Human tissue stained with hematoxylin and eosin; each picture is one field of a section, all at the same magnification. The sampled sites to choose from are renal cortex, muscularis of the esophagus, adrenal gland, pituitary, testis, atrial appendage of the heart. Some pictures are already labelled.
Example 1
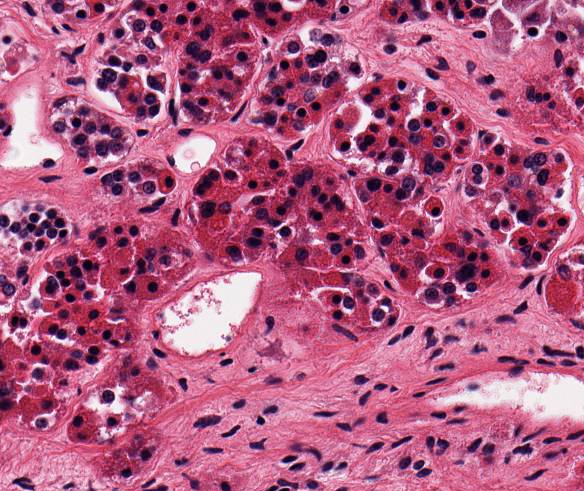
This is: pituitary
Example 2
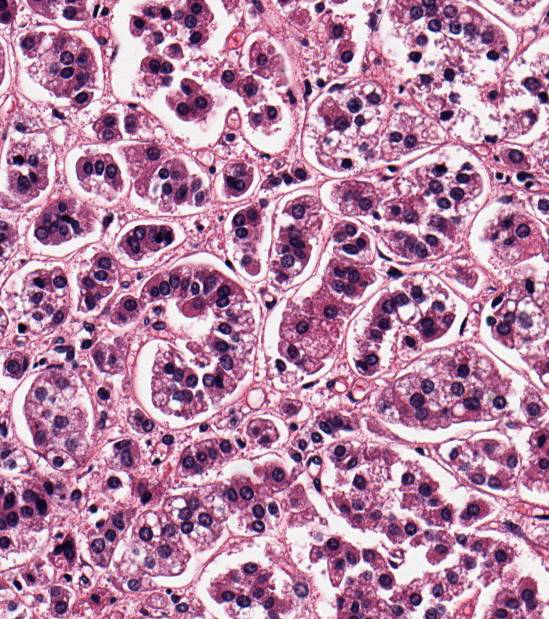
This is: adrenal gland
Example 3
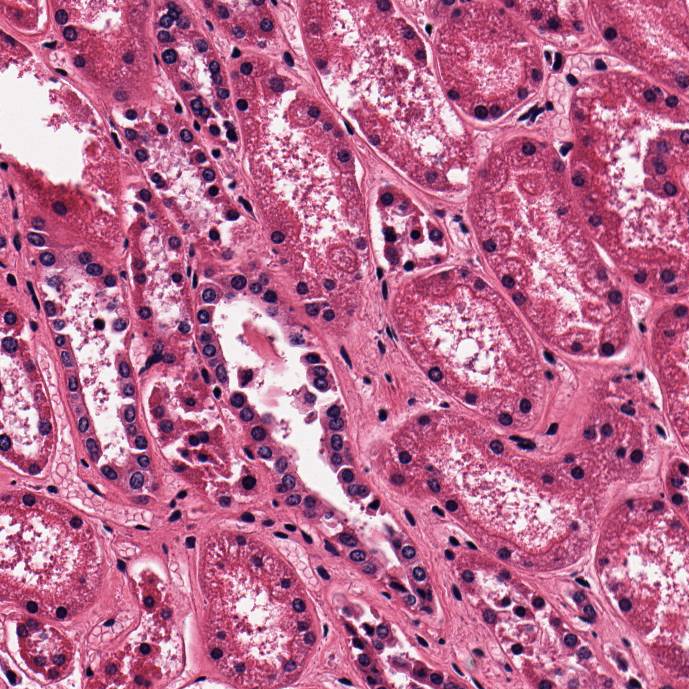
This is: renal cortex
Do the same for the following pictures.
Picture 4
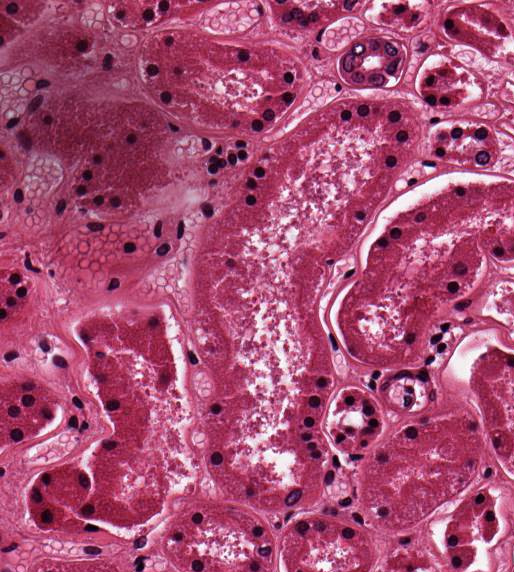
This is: renal cortex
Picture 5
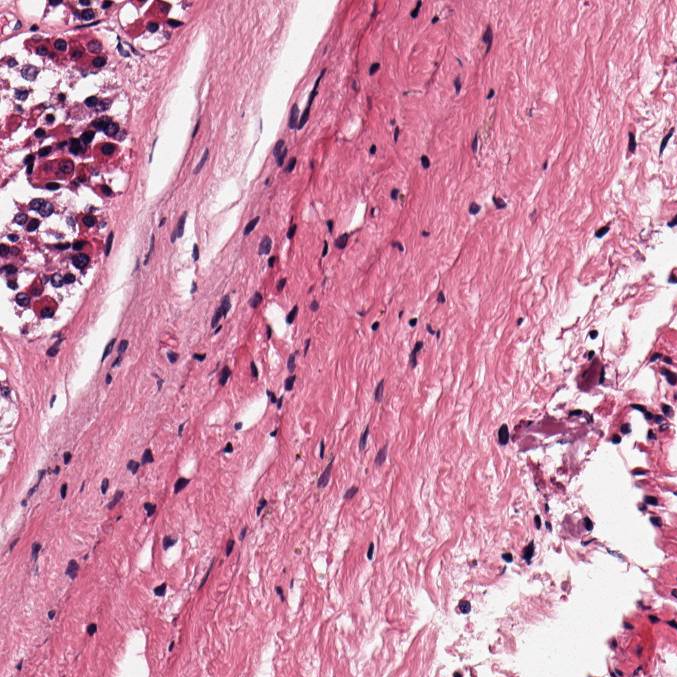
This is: pituitary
